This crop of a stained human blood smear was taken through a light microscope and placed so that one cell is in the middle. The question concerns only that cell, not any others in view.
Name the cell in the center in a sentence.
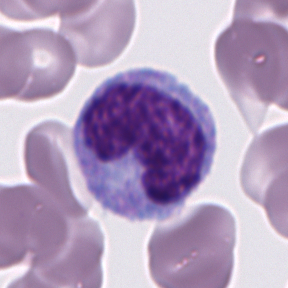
The middle of this crop holds a monocyte.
